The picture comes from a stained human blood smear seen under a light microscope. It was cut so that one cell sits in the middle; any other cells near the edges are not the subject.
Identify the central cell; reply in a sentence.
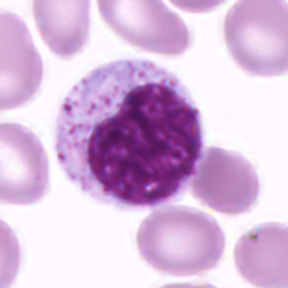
The cell found in the middle of this crop is a metamyelocyte.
